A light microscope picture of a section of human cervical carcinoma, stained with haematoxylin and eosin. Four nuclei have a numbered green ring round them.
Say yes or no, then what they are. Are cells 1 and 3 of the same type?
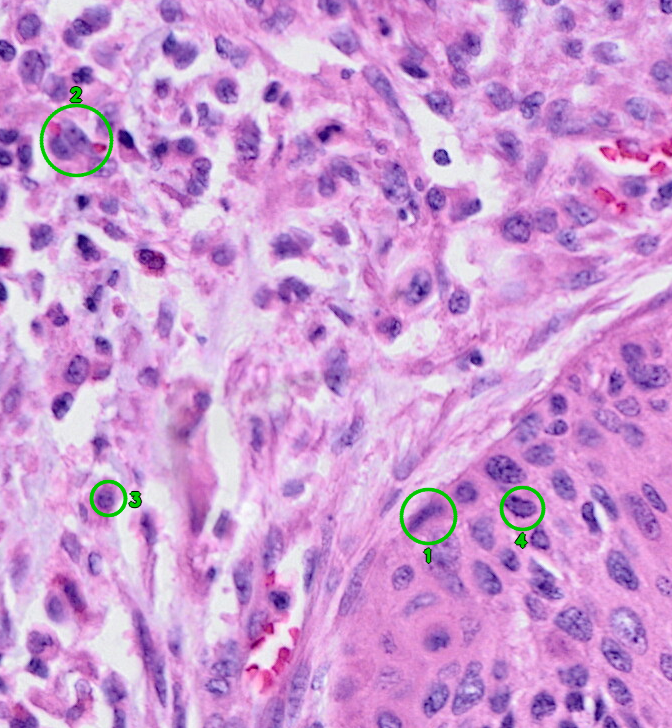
No, cell 1 is a squamous carcinoma cell; cell 3 is a macrophage or monocyte.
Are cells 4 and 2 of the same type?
No, cell number 4 is a squamous carcinoma cell, and cell number 2 is an endothelial cell.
